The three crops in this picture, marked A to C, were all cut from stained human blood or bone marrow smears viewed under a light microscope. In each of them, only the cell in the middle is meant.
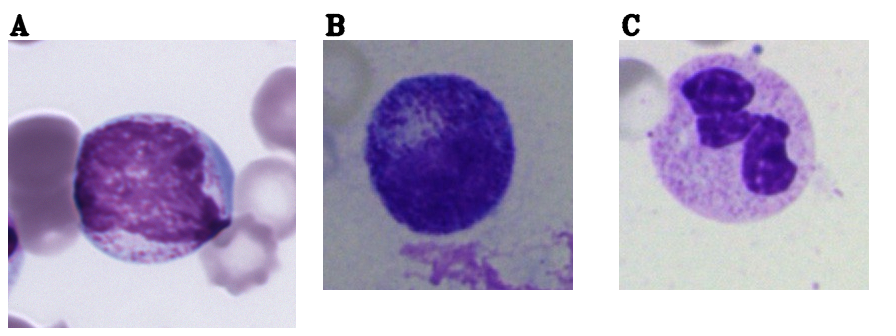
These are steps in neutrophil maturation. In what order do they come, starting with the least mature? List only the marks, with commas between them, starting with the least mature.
B, A, C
